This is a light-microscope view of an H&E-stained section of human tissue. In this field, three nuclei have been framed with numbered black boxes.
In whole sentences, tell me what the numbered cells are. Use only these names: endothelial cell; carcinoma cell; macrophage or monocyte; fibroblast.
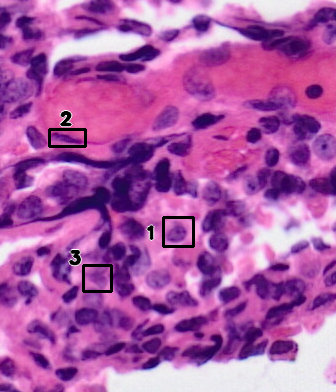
Cell 1 is a macrophage or monocyte, cell 2 is an endothelial cell and cell 3 is a carcinoma cell.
